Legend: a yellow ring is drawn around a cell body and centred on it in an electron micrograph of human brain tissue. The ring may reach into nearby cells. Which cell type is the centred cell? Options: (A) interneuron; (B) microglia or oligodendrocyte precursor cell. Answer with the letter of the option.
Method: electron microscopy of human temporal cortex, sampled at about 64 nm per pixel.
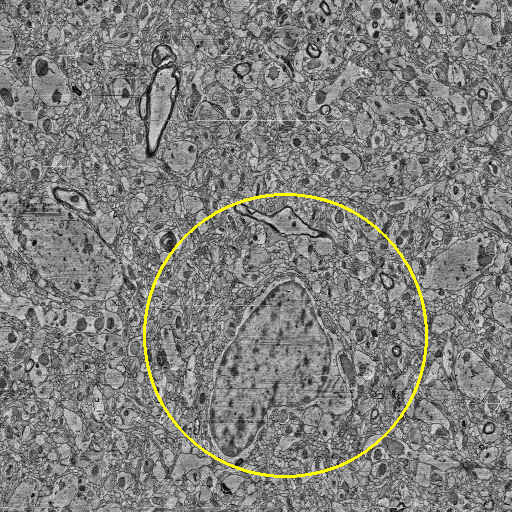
B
